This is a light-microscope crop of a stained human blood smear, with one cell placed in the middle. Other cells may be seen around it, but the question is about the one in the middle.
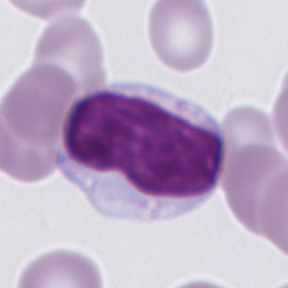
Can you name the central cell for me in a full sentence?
Occupying the centre of the crop is a large granular lymphocyte.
